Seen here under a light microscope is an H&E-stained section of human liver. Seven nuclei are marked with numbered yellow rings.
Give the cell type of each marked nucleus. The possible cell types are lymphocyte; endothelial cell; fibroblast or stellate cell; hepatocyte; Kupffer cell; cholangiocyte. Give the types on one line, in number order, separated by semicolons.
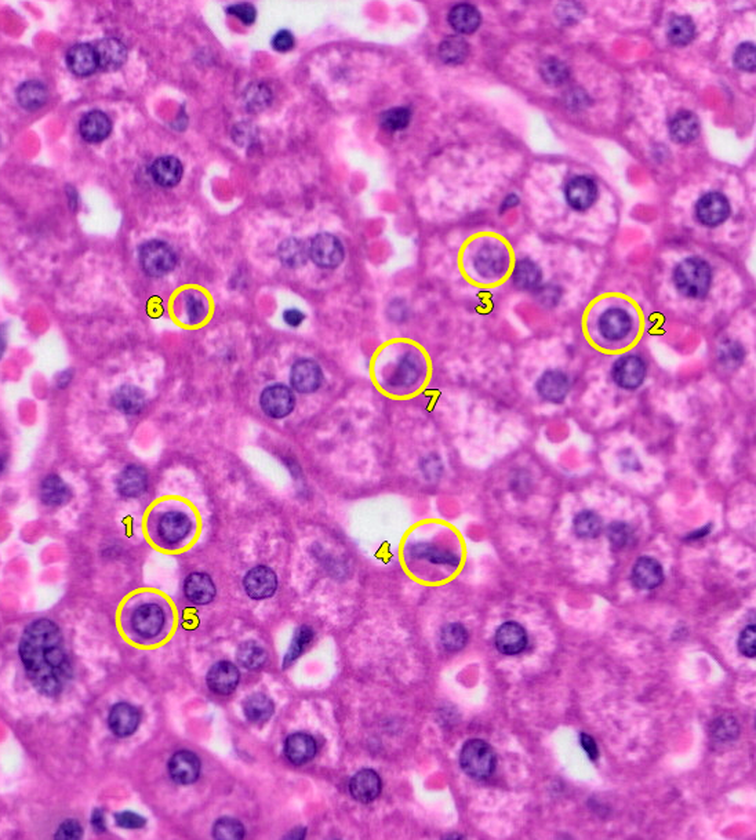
hepatocyte; hepatocyte; hepatocyte; Kupffer cell; hepatocyte; endothelial cell; endothelial cell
